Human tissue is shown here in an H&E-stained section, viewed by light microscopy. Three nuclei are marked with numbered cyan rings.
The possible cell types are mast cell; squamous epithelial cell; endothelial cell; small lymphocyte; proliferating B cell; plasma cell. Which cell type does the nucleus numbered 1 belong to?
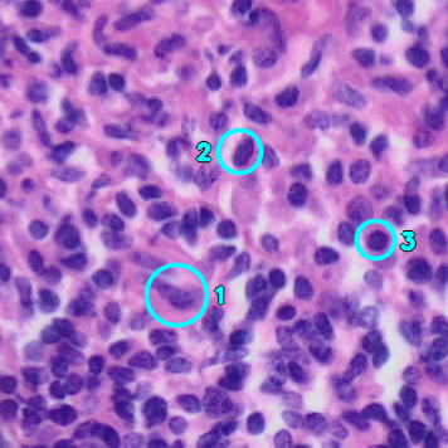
endothelial cell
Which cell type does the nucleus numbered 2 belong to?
plasma cell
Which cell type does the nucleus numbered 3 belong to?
plasma cell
